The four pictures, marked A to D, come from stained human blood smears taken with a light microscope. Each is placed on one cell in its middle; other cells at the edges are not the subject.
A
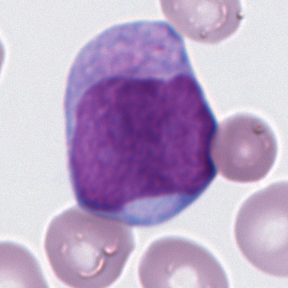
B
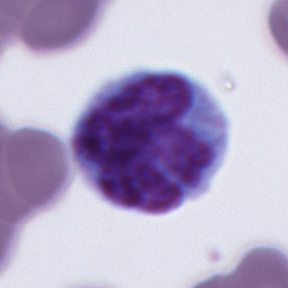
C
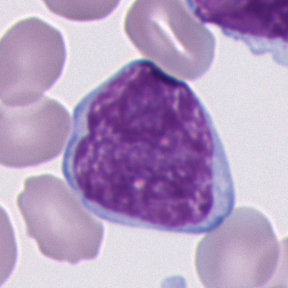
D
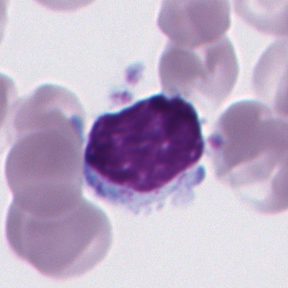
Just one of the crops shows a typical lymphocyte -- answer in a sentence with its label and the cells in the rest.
Crop D has a typical lymphocyte as its central cell, while crop A is an atypical promyelocyte, crop B is a monocyte and crop C is a myeloblast.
